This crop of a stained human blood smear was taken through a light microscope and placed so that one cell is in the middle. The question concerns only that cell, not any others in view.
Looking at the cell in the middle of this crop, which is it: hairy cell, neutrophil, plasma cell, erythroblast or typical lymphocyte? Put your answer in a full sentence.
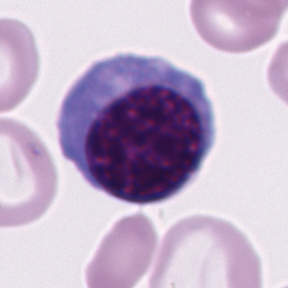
The cell at the middle of the frame should be recorded as an erythroblast.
